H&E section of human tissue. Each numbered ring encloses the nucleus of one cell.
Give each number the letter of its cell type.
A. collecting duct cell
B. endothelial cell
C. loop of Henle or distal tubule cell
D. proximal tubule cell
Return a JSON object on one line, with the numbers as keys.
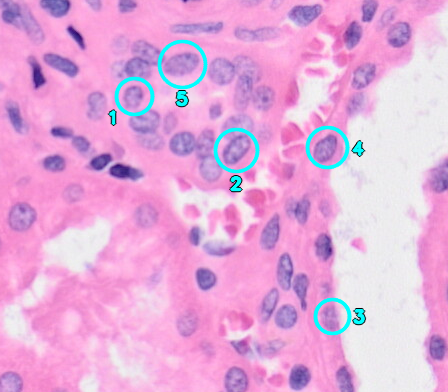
{"1": "A", "2": "A", "3": "C", "4": "C", "5": "A"}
